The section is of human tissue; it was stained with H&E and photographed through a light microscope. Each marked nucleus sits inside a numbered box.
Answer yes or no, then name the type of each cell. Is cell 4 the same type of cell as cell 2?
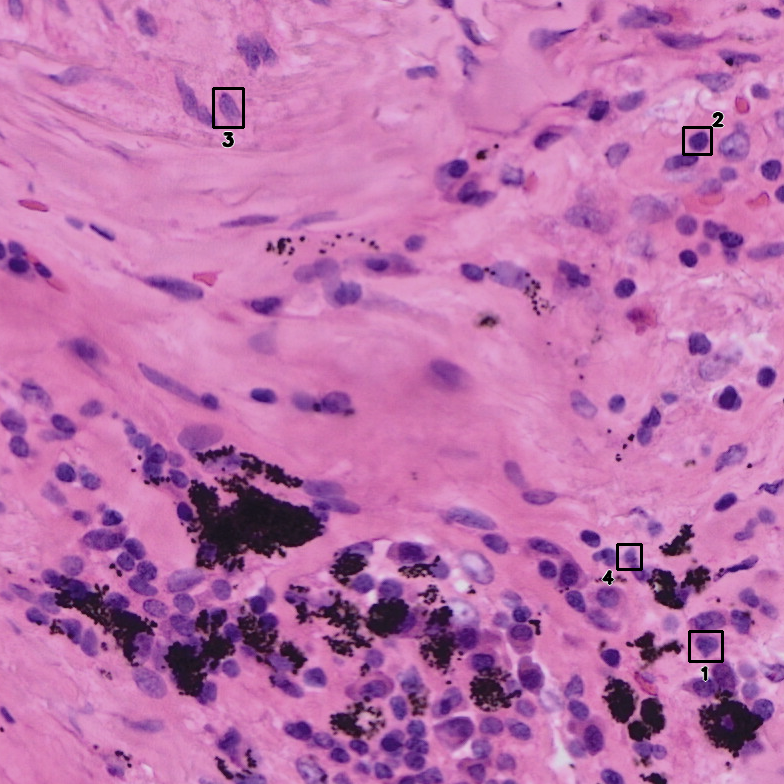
Yes, cells 4 and 2 have the same identity; both are lymphocytes.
